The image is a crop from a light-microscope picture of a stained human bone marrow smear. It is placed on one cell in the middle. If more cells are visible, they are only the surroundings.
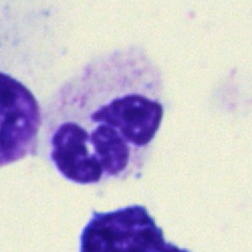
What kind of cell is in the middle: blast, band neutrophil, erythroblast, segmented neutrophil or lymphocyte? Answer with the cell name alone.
segmented neutrophil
